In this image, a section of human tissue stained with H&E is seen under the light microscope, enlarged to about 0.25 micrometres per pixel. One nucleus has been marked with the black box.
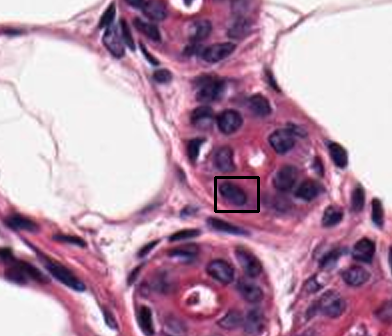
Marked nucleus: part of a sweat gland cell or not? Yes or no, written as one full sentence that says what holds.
Yes, the marked nucleus is a part of a sweat gland cell.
